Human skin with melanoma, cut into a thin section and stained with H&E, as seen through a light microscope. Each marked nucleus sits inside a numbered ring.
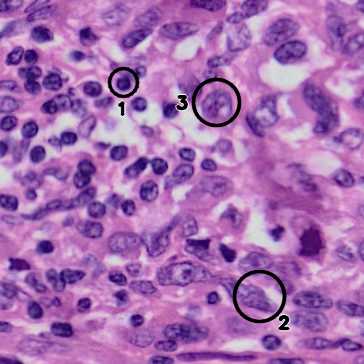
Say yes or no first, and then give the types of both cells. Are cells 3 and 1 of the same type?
No, the right answer is a melanoma cell for cell 3 and a lymphocyte for cell 1.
